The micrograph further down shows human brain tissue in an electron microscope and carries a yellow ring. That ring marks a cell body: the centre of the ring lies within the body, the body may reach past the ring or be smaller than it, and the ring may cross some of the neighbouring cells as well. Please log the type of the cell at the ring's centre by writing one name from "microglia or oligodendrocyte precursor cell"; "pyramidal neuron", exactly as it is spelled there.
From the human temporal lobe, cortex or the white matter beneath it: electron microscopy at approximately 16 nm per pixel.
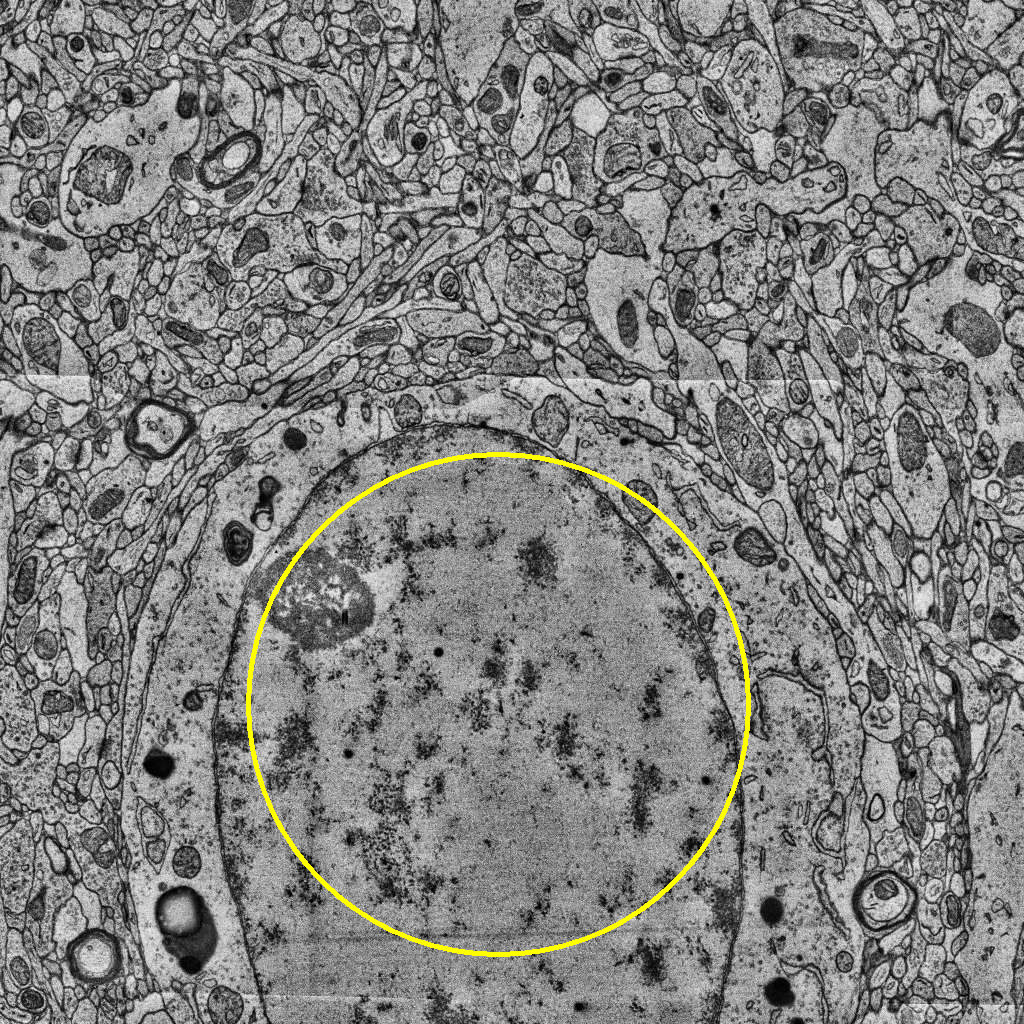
pyramidal neuron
